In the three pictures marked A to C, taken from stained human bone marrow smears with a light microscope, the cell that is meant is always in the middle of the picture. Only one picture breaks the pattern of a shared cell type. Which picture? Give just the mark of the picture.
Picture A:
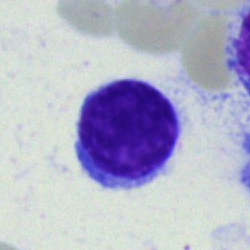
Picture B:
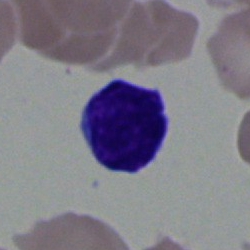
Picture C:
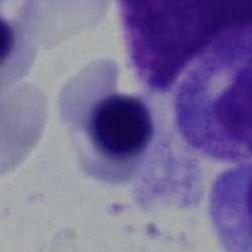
C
